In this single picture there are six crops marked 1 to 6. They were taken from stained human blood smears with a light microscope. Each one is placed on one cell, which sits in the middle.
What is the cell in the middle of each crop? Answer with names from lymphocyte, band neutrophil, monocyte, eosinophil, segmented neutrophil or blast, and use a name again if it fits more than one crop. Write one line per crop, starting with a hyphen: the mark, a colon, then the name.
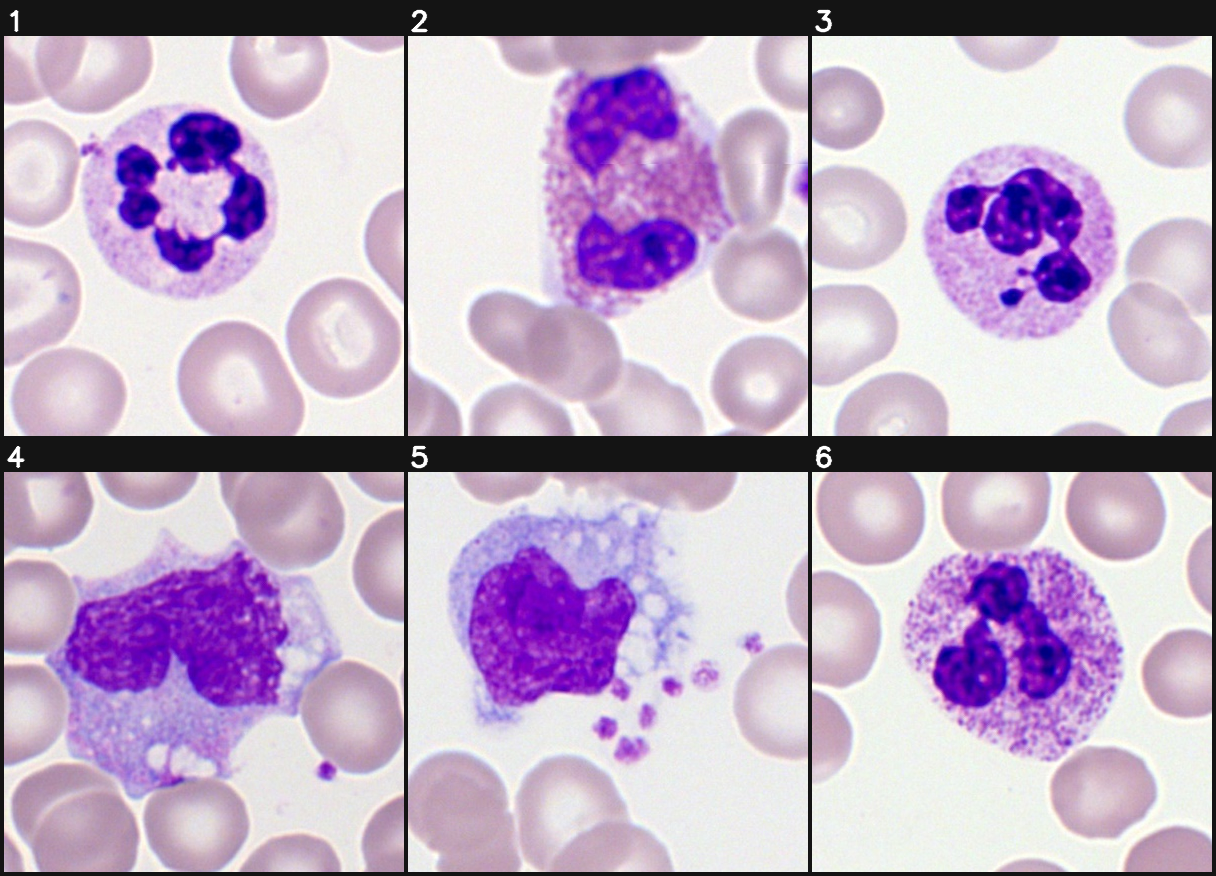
- 1: segmented neutrophil
- 2: eosinophil
- 3: segmented neutrophil
- 4: monocyte
- 5: monocyte
- 6: segmented neutrophil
